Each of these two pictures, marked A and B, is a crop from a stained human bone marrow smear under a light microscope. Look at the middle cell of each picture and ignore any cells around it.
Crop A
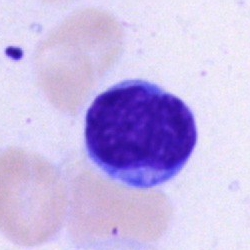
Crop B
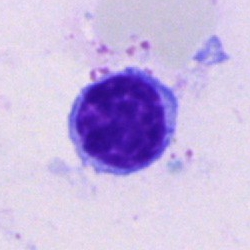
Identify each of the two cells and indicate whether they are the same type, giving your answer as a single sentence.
Yes, as shown in both crops, the central cells are lymphocytes.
